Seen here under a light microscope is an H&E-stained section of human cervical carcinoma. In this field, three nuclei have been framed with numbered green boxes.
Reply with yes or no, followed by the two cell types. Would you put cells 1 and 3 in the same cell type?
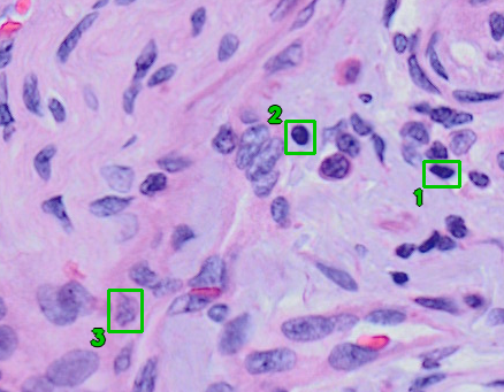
No, cell 1 is a lymphocyte, whereas cell 3, for its part, is a smooth muscle cell.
